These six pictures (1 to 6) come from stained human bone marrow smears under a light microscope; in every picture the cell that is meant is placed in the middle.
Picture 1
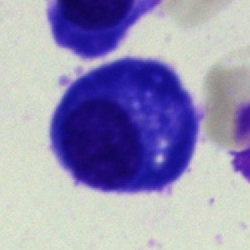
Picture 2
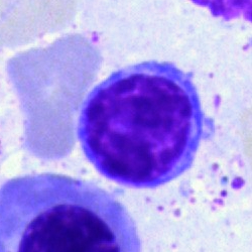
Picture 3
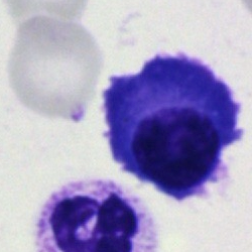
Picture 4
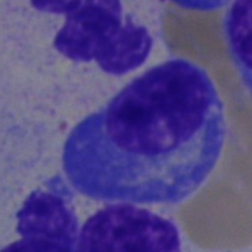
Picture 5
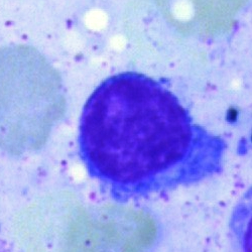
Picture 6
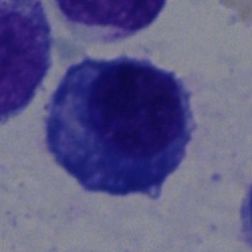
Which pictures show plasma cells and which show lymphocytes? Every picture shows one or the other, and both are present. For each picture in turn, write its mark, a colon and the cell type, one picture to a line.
1: plasma cell
2: lymphocyte
3: plasma cell
4: plasma cell
5: lymphocyte
6: plasma cell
